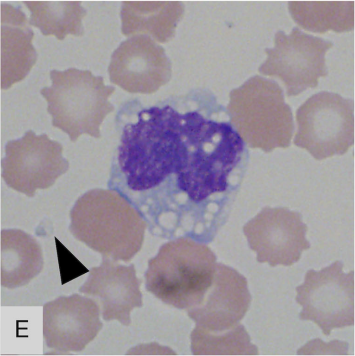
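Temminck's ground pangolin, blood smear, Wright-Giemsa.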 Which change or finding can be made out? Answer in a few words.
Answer: monocyte with vacuoles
